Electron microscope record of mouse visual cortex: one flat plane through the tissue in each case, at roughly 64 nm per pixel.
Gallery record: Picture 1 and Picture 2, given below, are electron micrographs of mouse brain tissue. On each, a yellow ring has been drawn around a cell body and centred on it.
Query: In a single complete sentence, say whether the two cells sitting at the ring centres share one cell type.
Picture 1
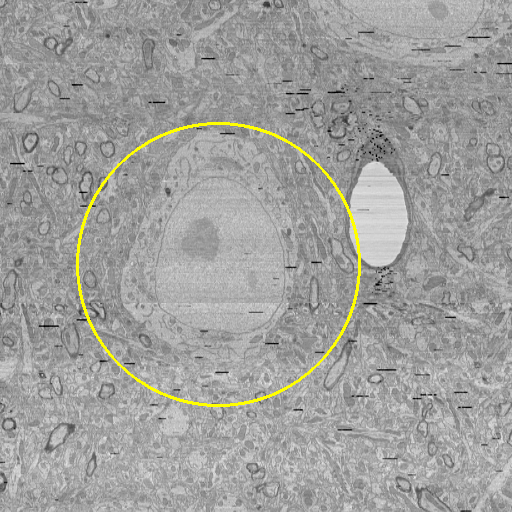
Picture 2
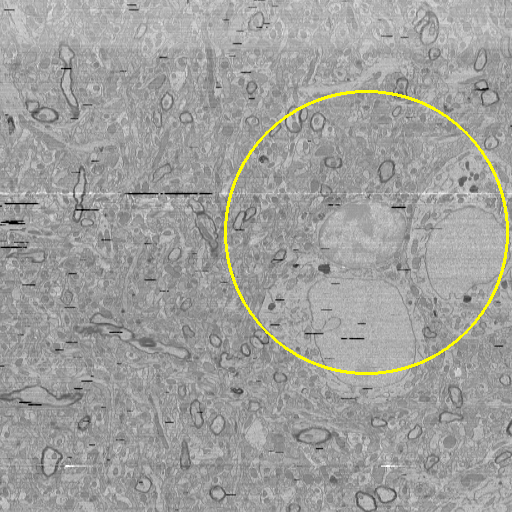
No, in the two pictures the cells at the rings' centres are of two separate types.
